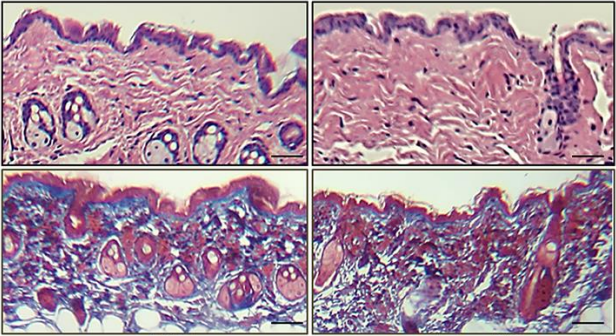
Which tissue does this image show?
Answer: Skin.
